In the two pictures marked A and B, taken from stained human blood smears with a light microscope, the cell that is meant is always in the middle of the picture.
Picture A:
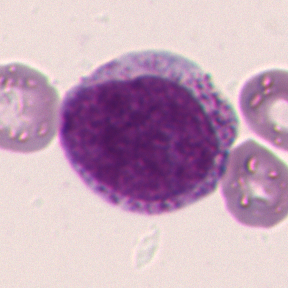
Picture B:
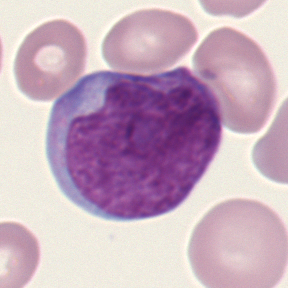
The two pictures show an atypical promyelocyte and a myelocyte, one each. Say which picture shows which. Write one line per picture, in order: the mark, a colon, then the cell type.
A: myelocyte
B: atypical promyelocyte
